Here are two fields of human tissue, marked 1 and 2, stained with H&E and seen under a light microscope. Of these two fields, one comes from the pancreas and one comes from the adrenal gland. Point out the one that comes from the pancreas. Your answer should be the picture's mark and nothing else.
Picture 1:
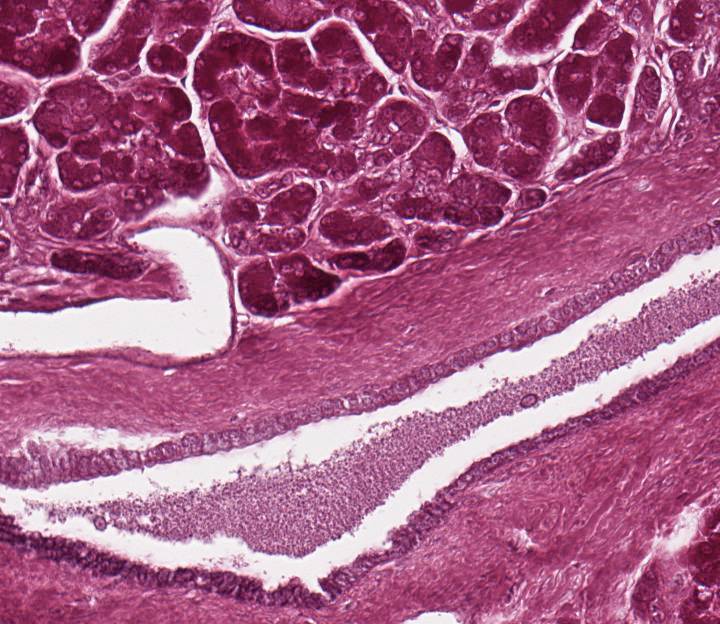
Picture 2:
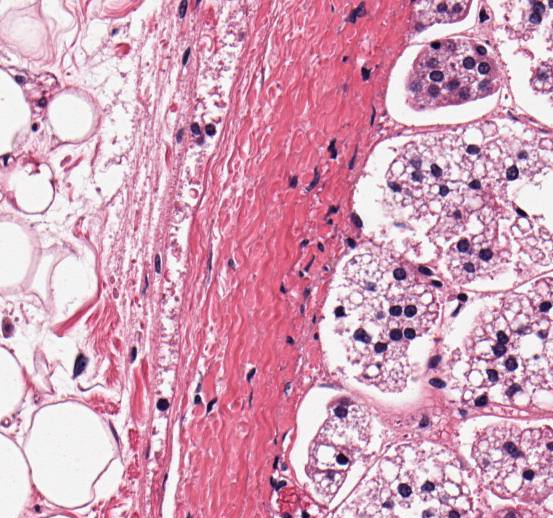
1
